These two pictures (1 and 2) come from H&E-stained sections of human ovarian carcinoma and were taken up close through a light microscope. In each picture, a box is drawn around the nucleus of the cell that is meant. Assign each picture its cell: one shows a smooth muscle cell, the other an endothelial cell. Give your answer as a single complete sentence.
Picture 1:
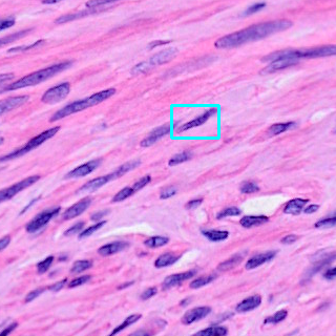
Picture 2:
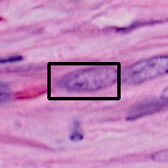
The cell in picture 1 is a smooth muscle cell, and the one in picture 2 is an endothelial cell.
